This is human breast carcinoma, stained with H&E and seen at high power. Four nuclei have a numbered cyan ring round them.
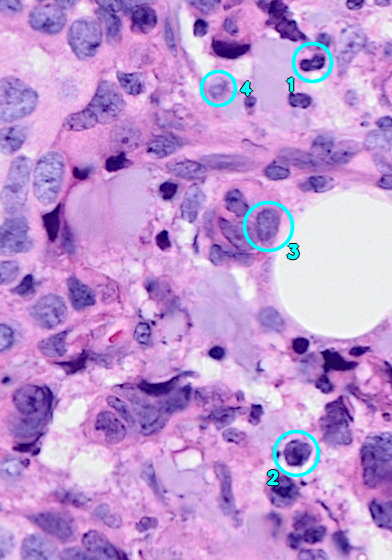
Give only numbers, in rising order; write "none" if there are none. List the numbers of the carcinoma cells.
2, 3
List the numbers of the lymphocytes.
1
